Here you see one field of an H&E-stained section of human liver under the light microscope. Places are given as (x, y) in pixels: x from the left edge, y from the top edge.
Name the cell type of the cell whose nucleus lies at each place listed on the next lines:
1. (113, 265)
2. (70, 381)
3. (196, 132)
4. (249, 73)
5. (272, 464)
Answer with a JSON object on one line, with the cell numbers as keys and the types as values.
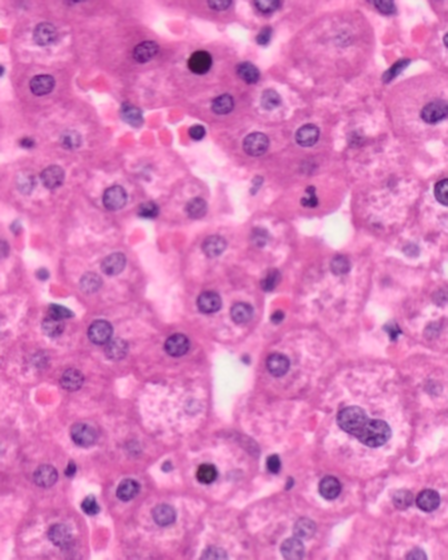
{"1": "hepatocyte", "2": "hepatocyte", "3": "lymphocyte", "4": "fibroblast or stellate cell", "5": "lymphocyte"}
